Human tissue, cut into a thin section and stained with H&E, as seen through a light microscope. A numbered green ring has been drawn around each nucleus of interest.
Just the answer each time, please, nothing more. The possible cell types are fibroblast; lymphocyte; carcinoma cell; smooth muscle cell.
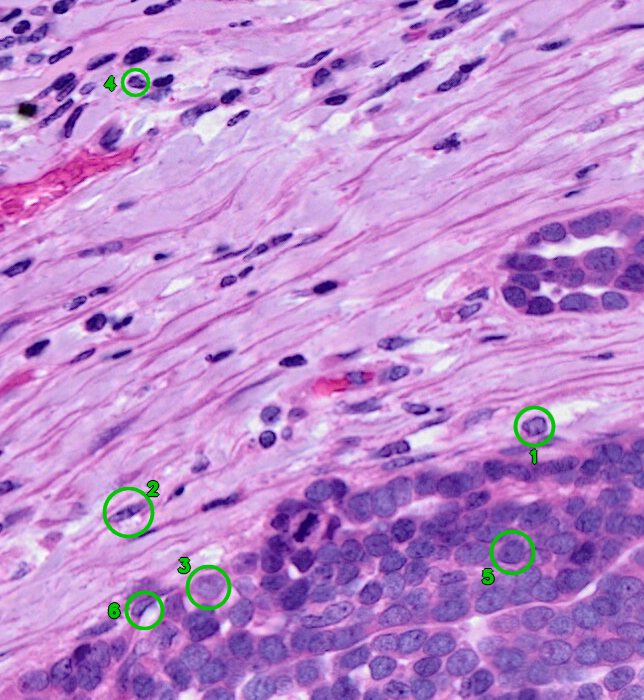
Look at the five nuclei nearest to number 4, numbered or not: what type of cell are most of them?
lymphocyte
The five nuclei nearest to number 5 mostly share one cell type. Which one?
carcinoma cell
